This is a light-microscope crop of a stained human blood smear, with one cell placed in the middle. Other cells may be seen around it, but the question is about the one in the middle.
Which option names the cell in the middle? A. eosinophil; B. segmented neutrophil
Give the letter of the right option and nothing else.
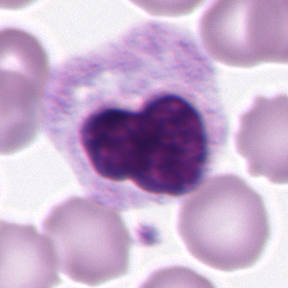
B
